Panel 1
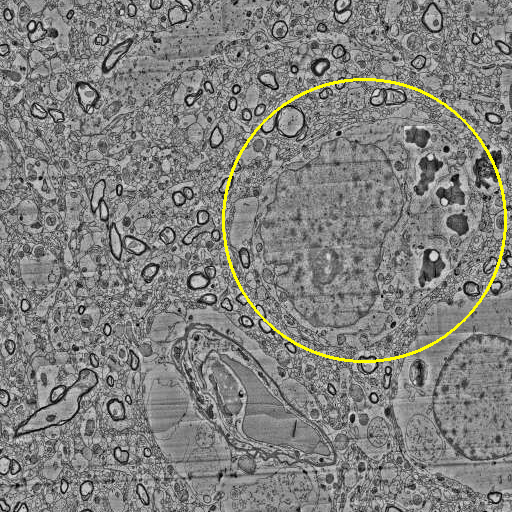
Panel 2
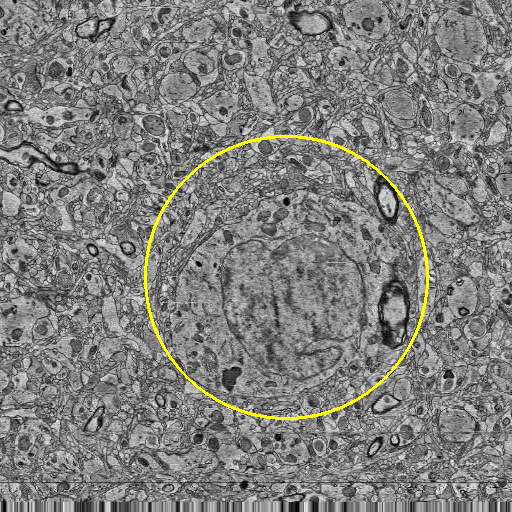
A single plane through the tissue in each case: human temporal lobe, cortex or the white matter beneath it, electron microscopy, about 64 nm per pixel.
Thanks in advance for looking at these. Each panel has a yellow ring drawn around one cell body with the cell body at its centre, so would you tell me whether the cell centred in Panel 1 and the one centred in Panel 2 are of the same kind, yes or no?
yes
